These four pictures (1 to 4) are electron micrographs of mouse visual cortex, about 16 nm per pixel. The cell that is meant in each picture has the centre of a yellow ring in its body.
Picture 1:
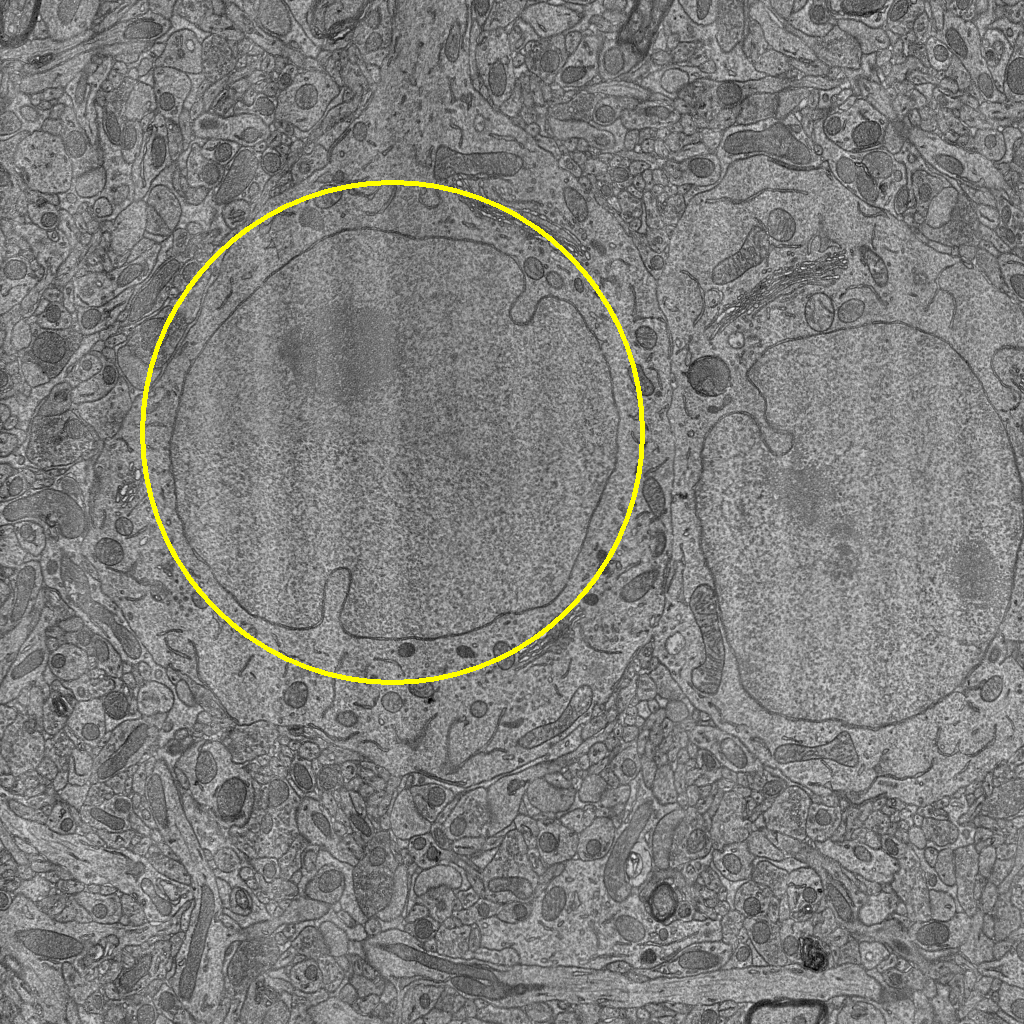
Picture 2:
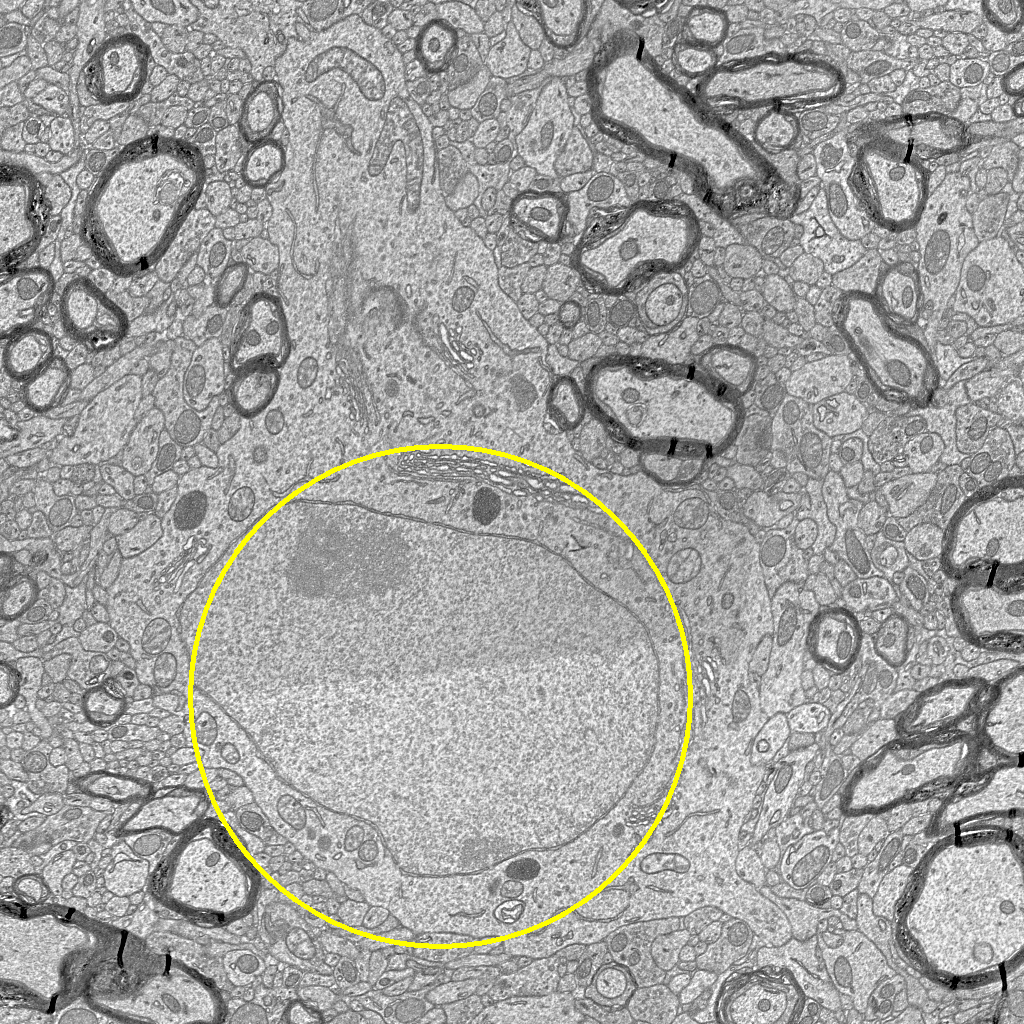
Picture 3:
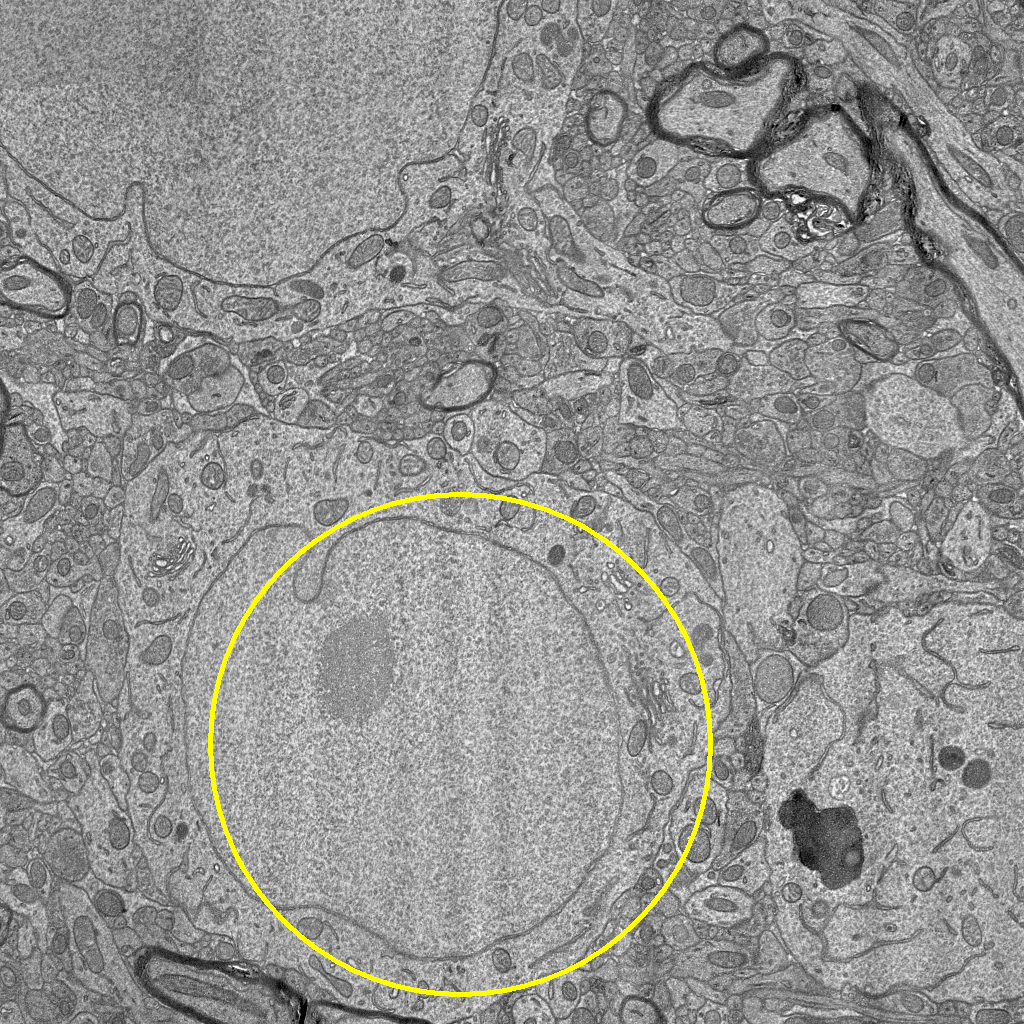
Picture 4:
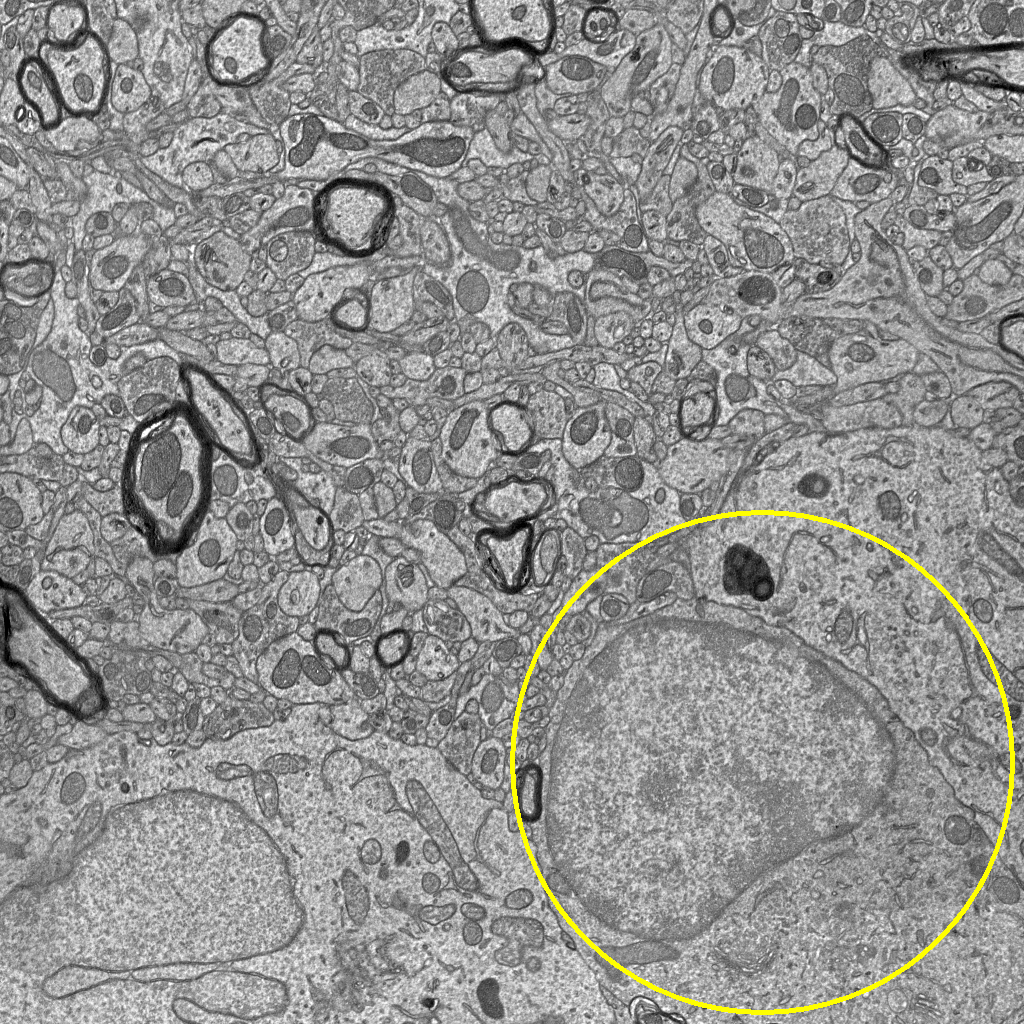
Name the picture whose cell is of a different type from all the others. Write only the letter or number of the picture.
4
